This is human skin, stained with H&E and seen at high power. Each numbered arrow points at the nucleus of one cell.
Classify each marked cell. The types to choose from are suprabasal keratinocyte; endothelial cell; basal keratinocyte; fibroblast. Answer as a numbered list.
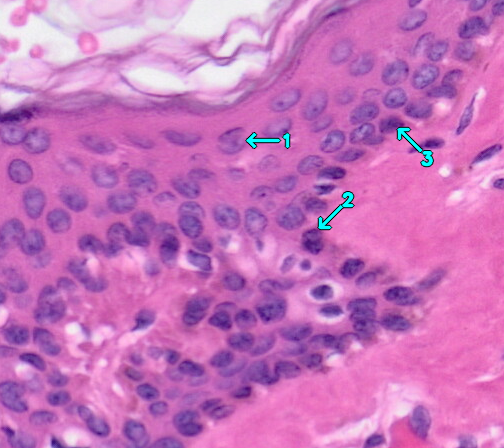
1. suprabasal keratinocyte
2. basal keratinocyte
3. basal keratinocyte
